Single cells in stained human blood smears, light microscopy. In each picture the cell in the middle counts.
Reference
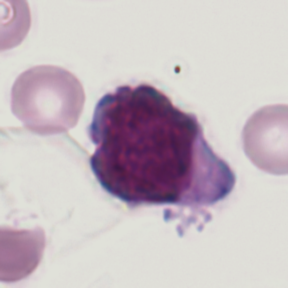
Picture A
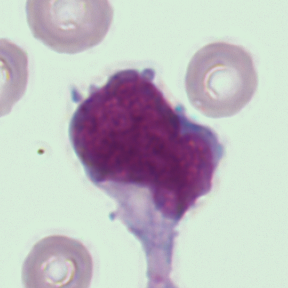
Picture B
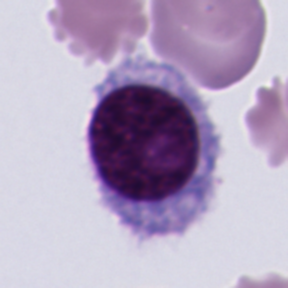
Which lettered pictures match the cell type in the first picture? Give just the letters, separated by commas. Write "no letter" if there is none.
A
